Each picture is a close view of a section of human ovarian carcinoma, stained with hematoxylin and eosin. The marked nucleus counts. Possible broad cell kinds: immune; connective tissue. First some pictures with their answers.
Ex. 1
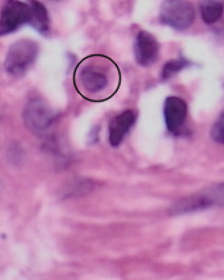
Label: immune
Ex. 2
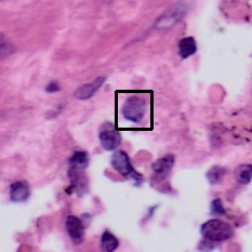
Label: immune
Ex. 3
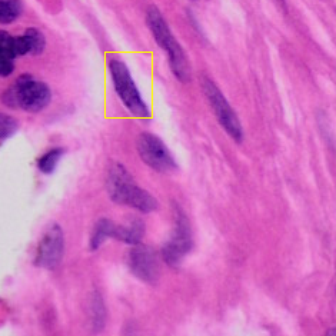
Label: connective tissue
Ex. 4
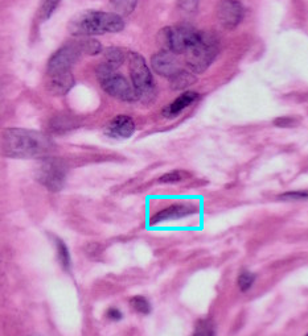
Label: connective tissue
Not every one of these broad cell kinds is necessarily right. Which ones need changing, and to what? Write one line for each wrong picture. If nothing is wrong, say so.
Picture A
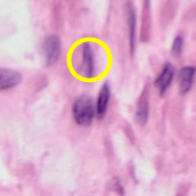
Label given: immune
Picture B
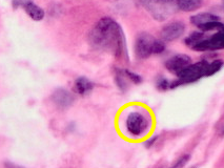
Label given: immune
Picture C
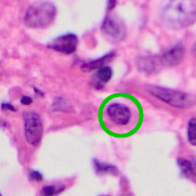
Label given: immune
A: connective tissue, not immune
